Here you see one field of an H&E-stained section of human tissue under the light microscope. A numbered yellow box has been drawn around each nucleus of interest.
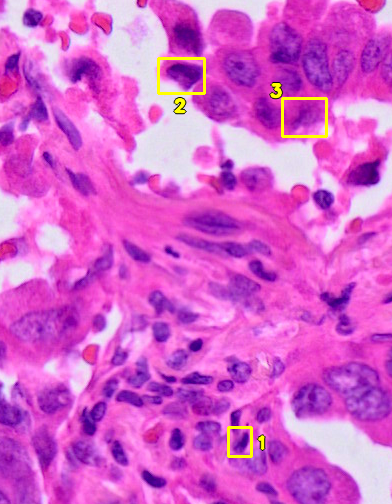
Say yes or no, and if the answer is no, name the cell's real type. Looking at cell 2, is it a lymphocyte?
No, it is a carcinoma cell.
